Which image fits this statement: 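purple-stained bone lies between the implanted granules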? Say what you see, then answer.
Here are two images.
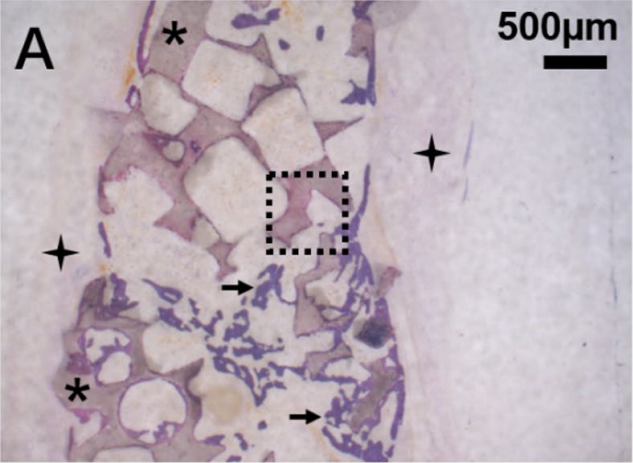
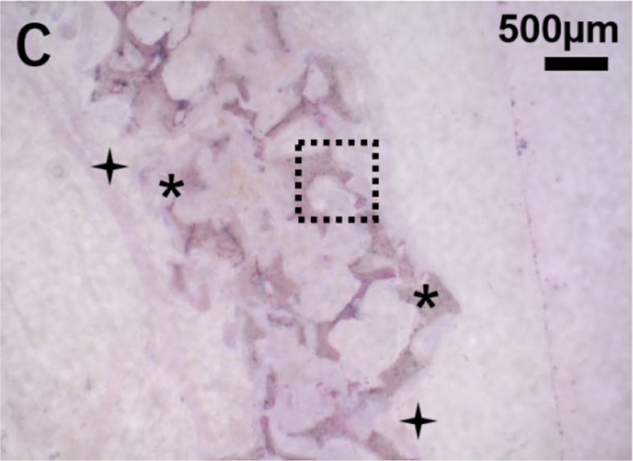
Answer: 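The first image. Second image: the granules are pinkish-grey with no deep purple strands between them. First image: deep purple branching strands run between and along the granules.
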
